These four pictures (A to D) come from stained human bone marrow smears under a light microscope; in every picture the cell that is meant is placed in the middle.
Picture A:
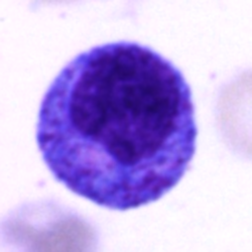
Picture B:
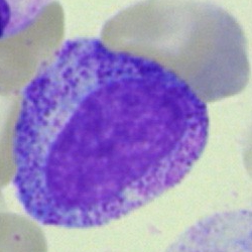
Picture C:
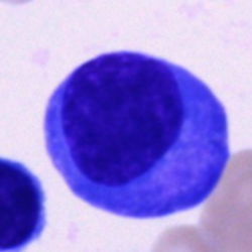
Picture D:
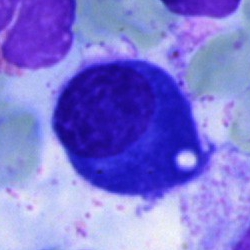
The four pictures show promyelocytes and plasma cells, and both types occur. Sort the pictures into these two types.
A: promyelocyte
B: promyelocyte
C: plasma cell
D: plasma cell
